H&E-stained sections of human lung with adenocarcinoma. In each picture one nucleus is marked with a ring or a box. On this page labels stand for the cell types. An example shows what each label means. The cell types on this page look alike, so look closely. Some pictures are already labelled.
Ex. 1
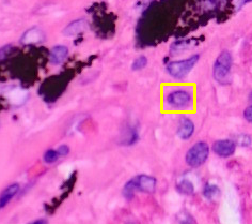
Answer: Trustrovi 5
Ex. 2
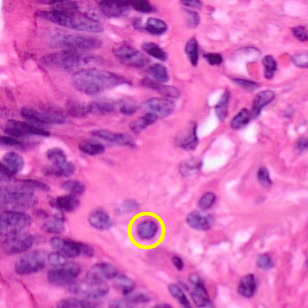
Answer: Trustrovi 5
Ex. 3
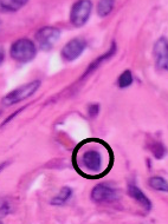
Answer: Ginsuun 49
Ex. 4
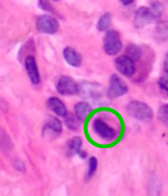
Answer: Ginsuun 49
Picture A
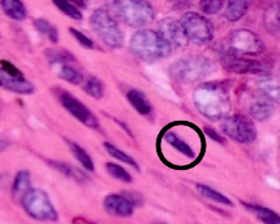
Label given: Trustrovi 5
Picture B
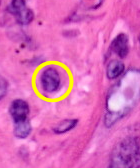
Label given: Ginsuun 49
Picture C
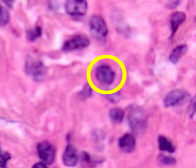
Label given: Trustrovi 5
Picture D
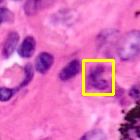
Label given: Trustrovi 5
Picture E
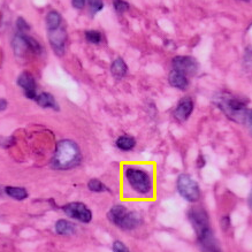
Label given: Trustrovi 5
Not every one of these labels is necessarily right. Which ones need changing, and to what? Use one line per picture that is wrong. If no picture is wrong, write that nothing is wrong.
D is labelled Trustrovi 5; correct label: Ginsuun 49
